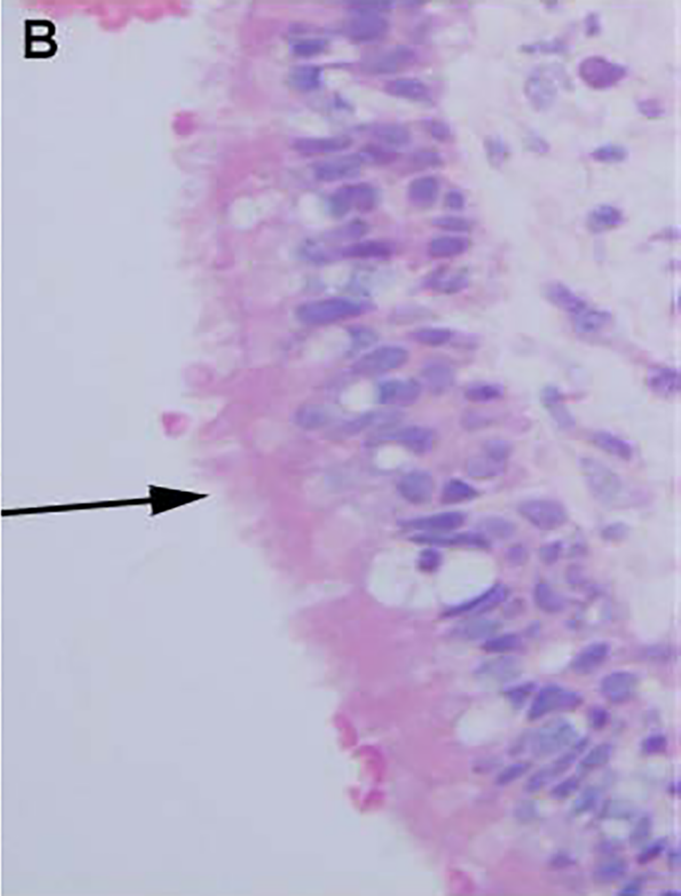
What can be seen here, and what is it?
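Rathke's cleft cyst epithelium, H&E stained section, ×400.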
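The cells form a lining facing a clear space on the left. Their free surface bears a pink, brush-like fringe of cilia with a few detached fragments beside it. The cytoplasm is pale pink, and the oval purple nuclei sit at various heights within the layer. Scattered clear, round vacuoles lie among the cells, some of them large. Paler, looser tissue with scattered nuclei lies behind the lining on the right.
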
